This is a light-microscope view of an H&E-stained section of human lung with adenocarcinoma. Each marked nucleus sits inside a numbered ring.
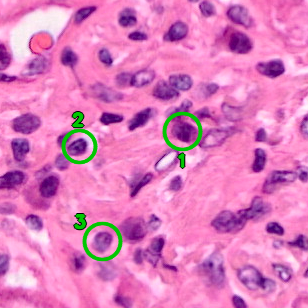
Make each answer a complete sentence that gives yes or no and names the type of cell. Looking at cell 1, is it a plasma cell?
Yes, exactly, the cell numbered 1 is a plasma cell.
